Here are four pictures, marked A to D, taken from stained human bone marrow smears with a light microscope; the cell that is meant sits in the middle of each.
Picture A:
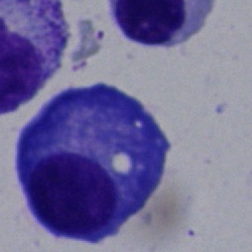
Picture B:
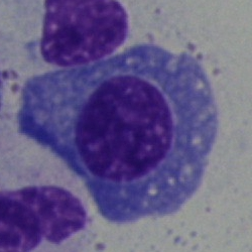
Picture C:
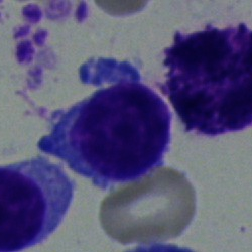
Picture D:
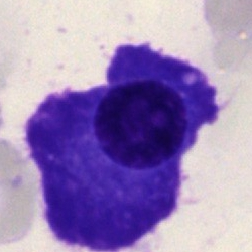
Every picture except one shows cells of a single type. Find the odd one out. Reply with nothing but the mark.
C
